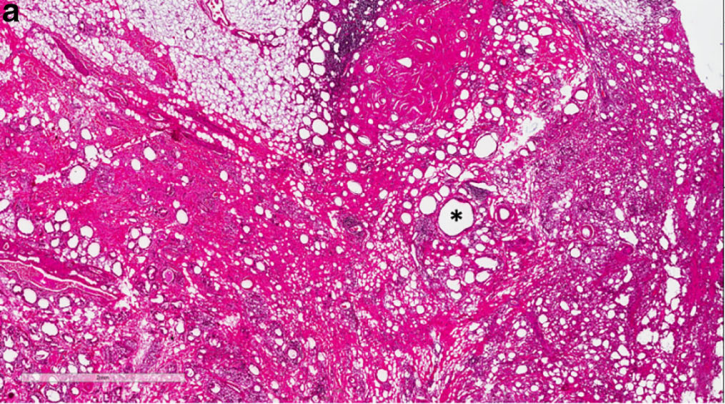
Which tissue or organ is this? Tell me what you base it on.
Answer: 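Adipose tissue. Pale areas of closely packed empty polygonal spaces at the top. Dense pink fibrous bands run between these areas.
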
